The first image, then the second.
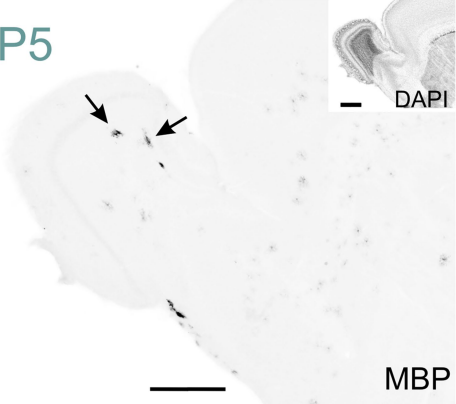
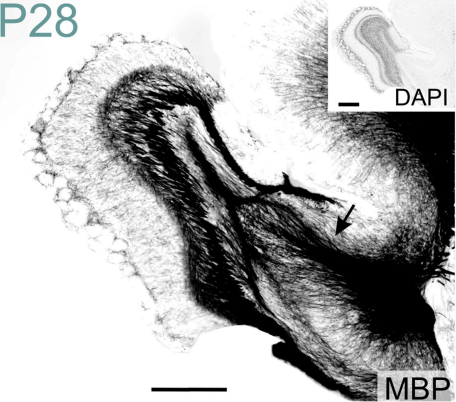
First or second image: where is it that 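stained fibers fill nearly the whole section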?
the second image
